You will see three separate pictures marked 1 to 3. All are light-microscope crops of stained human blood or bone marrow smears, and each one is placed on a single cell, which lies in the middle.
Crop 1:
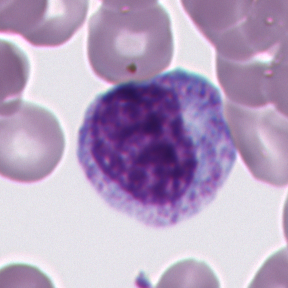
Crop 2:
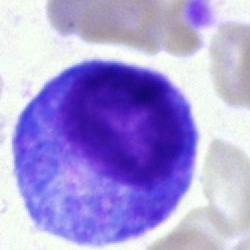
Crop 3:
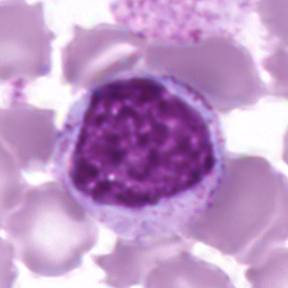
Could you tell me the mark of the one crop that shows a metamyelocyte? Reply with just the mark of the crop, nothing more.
1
